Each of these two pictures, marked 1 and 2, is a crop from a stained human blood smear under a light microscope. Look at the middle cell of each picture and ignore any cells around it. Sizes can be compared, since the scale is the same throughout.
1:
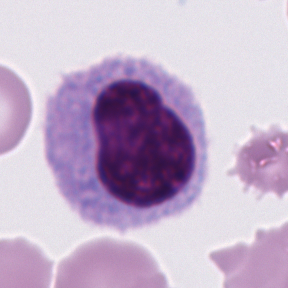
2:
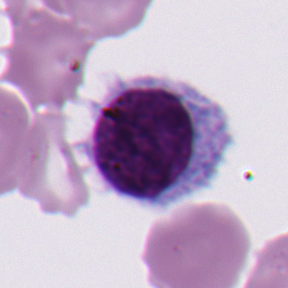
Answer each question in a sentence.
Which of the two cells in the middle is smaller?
The cell in crop 2 is smaller; the one in crop 1 has about 1.5 times its area.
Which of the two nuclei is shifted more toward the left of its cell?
It is the nucleus in crop 2 that lies further toward the left of its cell.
